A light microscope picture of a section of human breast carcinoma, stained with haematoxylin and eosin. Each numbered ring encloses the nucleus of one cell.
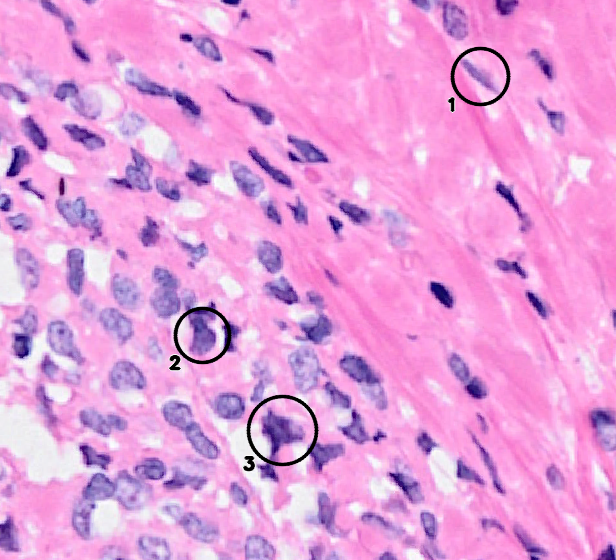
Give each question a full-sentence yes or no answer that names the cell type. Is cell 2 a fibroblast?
No, the cell given number 2 is a carcinoma cell, not a fibroblast.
